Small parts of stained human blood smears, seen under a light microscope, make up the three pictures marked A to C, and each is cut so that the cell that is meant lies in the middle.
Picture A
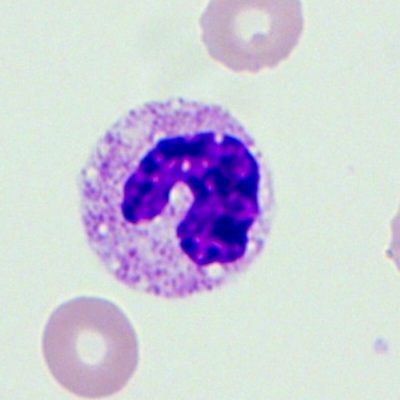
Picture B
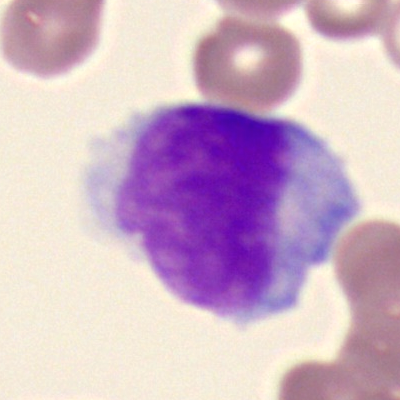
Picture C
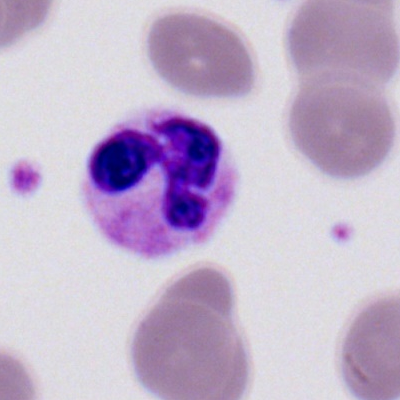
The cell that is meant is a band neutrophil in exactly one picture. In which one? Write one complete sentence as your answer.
It is picture A that shows the band neutrophil.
